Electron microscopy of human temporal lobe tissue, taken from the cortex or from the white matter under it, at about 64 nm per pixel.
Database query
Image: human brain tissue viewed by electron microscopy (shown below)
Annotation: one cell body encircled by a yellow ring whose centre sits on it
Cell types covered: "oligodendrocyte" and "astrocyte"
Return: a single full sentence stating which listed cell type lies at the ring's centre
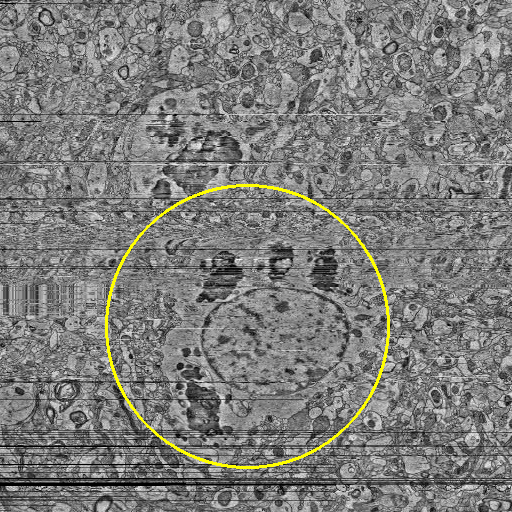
In the image, the cell lying at the ring's centre is an astrocyte.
